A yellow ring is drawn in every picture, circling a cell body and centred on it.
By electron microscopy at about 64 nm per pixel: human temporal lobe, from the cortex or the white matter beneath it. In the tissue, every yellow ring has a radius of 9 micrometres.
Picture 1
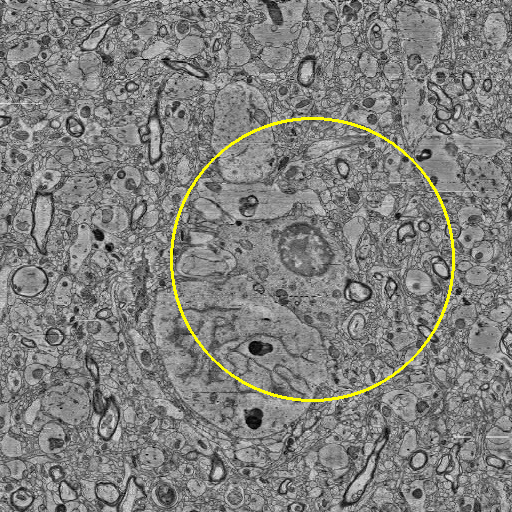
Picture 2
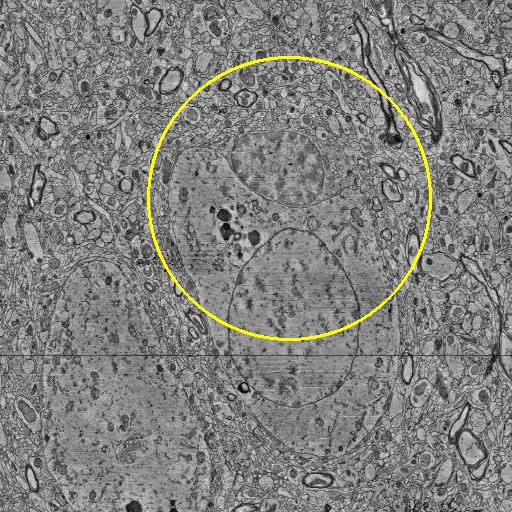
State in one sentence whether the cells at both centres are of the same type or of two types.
The cells at the two ring centres, one per picture, are of the same type.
